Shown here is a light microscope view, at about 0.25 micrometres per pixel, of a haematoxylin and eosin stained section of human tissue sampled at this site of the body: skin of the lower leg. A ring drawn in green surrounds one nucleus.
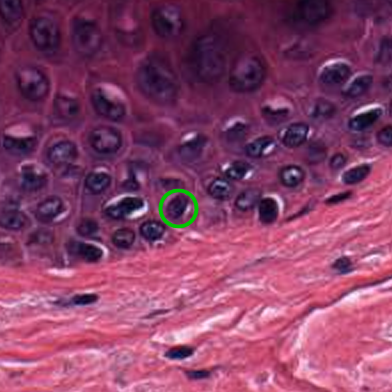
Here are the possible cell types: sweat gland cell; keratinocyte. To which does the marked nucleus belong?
keratinocyte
